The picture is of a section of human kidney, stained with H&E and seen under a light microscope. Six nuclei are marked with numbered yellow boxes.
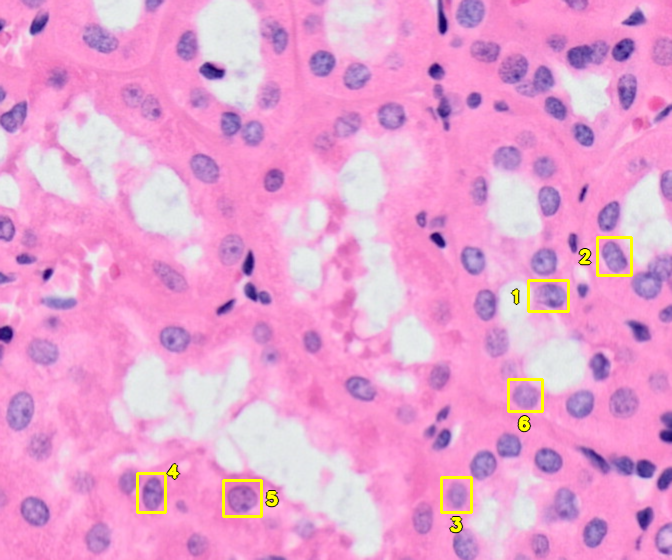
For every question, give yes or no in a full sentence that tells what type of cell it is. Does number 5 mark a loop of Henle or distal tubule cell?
No, at number 5 sits a proximal tubule cell, not a loop of Henle or distal tubule cell.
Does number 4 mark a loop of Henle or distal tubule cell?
No, the cell at number 4 is a proximal tubule cell instead of a loop of Henle or distal tubule cell.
